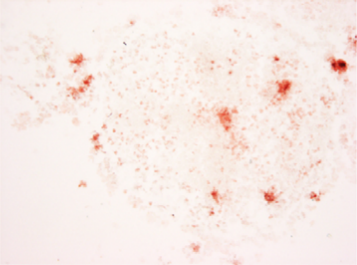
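The stained patches are irregular and of varying size, some small and dot-like, others larger and more diffuse. They are distributed both inside the aggregate and near its margins. Between them the section is pale with little stain.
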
